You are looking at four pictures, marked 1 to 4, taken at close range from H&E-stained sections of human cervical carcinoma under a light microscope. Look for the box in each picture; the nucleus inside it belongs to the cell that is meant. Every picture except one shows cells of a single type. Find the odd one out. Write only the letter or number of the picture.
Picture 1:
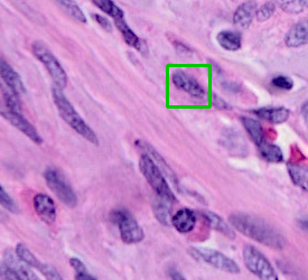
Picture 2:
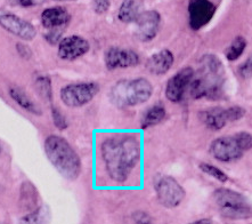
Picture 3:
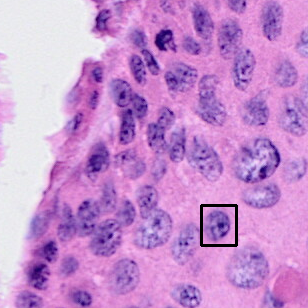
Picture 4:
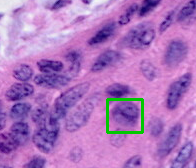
1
